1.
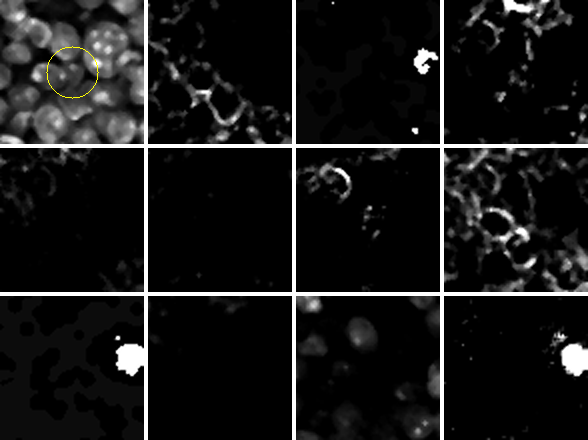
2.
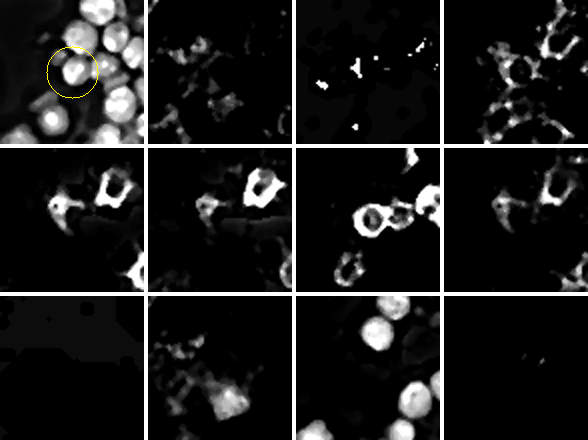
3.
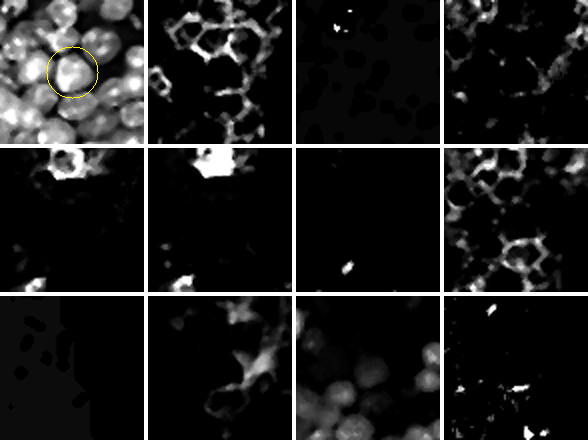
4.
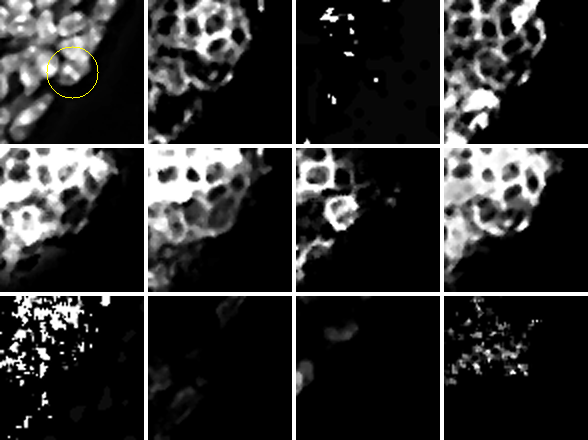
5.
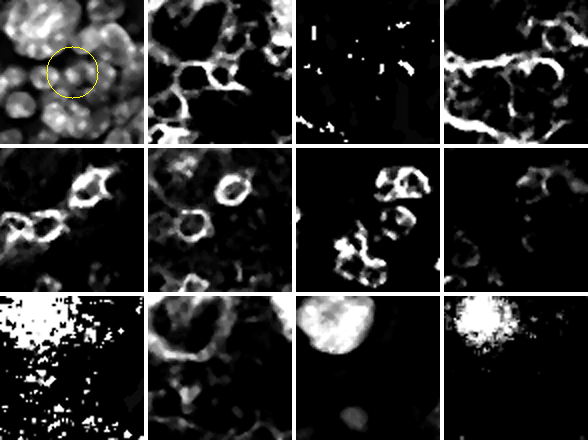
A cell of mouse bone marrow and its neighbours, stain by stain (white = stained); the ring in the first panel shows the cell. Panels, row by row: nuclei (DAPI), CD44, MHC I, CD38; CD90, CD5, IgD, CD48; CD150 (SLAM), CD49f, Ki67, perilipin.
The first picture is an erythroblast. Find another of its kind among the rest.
Picture 3.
